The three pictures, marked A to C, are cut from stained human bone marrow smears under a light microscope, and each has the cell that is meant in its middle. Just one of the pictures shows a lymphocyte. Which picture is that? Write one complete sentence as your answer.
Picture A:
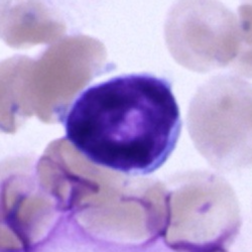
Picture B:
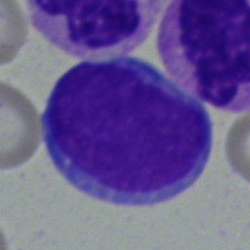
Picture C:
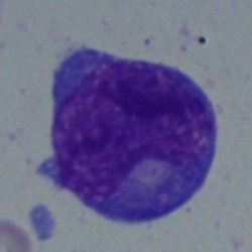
Picture A is the one that shows the lymphocyte.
